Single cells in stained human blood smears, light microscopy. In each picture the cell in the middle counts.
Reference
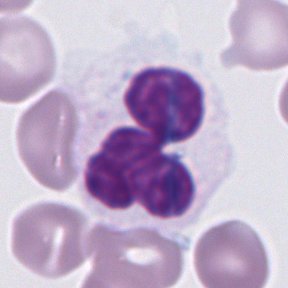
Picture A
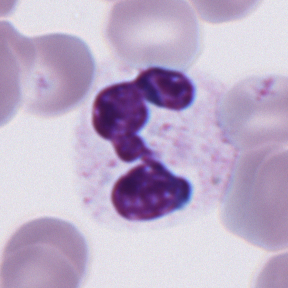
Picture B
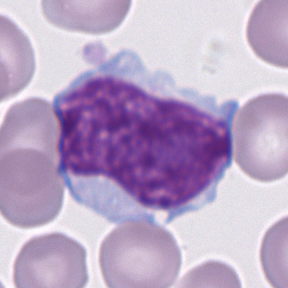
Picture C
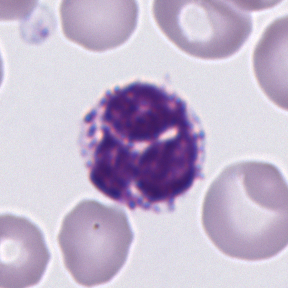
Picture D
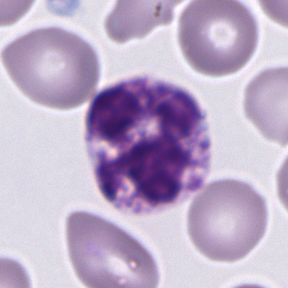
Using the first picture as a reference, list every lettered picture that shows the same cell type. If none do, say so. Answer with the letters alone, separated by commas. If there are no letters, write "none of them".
A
